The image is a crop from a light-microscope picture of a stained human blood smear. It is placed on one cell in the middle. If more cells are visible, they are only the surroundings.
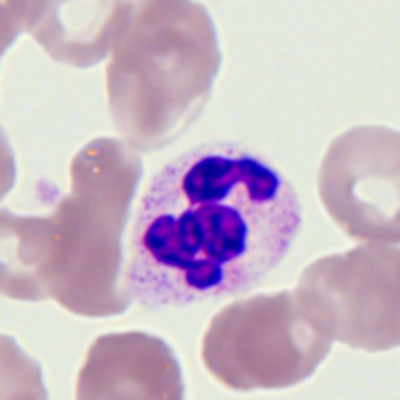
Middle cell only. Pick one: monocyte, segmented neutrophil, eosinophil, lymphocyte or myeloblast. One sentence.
Here the centrally located cell is a segmented neutrophil.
